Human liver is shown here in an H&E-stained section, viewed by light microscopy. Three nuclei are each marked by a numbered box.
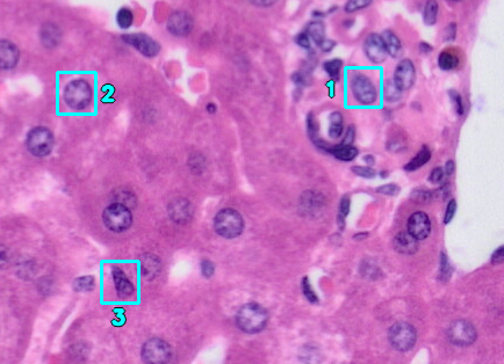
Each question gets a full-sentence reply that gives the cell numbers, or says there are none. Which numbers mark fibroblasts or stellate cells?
In contrast to the remaining marked cells, cell 3 is a fibroblast or stellate cell.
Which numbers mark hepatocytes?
Of the numbered nuclei, only the one labelled 2 belongs to a hepatocyte.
